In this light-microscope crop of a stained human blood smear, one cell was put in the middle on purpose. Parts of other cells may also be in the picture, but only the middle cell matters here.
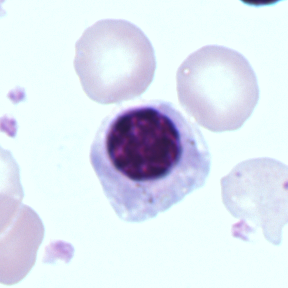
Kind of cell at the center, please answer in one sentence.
The crop shows an erythroblast in its centre.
